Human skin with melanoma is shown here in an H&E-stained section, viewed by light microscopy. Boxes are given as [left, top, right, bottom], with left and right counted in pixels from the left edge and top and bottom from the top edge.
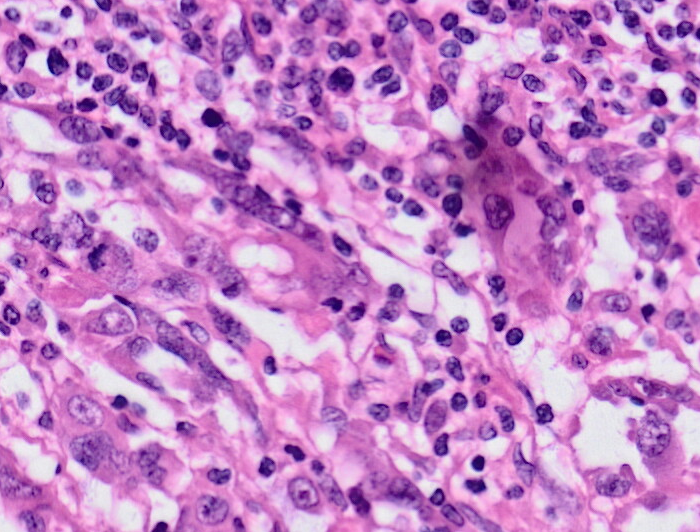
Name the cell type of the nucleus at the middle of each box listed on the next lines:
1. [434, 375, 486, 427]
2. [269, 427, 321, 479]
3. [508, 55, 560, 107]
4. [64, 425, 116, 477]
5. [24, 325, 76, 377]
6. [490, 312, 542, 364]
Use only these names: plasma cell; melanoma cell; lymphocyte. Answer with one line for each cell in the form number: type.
1: lymphocyte
2: lymphocyte
3: lymphocyte
4: melanoma cell
5: plasma cell
6: lymphocyte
